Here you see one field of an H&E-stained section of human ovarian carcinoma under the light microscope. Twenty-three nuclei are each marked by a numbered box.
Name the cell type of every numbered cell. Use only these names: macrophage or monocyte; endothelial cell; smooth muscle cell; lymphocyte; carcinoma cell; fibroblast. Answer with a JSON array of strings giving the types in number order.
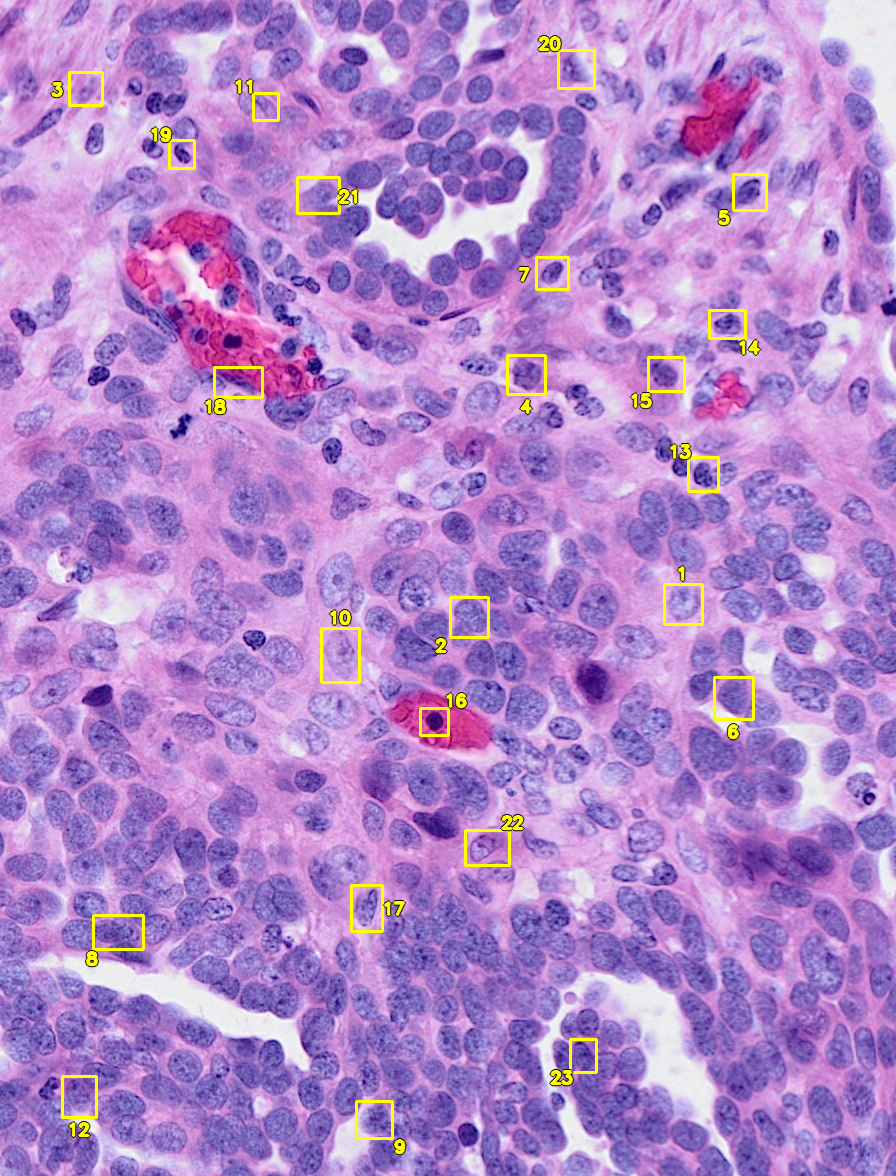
["fibroblast", "carcinoma cell", "fibroblast", "macrophage or monocyte", "lymphocyte", "carcinoma cell", "lymphocyte", "carcinoma cell", "carcinoma cell", "fibroblast", "fibroblast", "carcinoma cell", "lymphocyte", "lymphocyte", "lymphocyte", "lymphocyte", "macrophage or monocyte", "endothelial cell", "lymphocyte", "fibroblast", "carcinoma cell", "fibroblast", "carcinoma cell"]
